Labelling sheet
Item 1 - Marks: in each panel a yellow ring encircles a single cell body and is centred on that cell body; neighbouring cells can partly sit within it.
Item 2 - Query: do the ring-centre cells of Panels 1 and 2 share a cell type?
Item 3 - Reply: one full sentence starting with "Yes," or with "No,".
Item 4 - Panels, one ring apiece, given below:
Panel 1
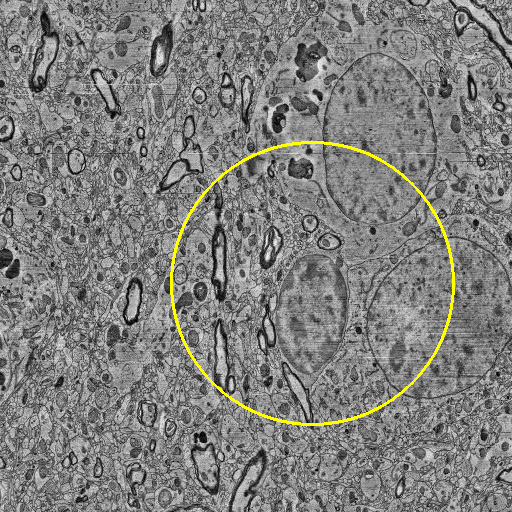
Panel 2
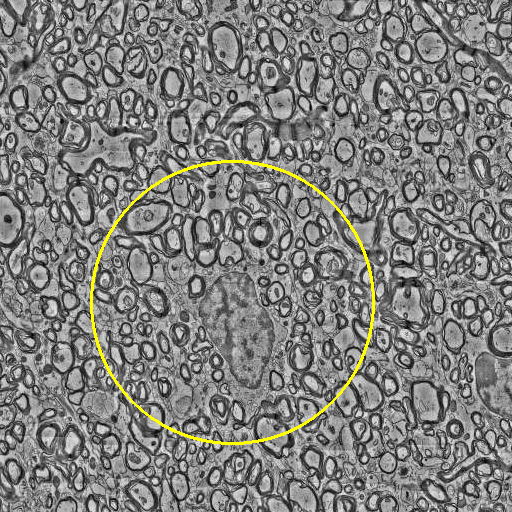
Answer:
Yes, Panel 1 and Panel 2 show one cell type at the centres of their rings.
